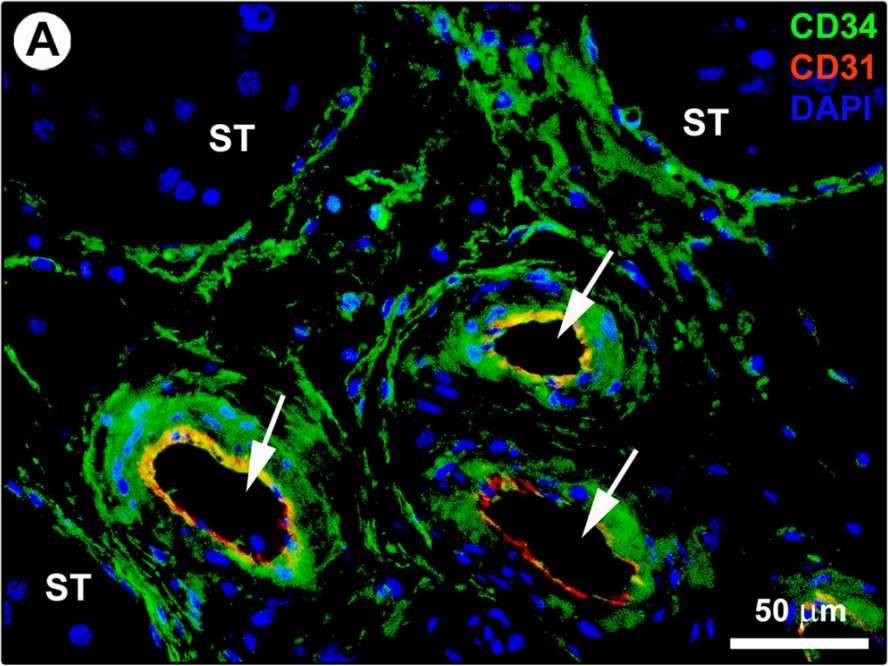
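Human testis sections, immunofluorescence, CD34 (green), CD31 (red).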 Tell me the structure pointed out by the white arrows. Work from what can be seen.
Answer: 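Three round to oval empty lumina lie in the stroma between the tubules. Each lumen has a thin red-lined inner layer and a green wall around it. That points to this answer: microvessels.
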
